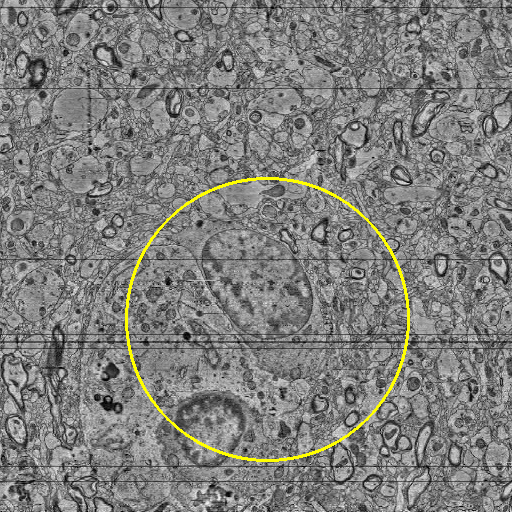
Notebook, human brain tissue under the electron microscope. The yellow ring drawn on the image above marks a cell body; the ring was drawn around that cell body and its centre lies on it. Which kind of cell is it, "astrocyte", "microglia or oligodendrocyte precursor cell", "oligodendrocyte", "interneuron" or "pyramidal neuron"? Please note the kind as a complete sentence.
The marked cell body is that of an oligodendrocyte.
